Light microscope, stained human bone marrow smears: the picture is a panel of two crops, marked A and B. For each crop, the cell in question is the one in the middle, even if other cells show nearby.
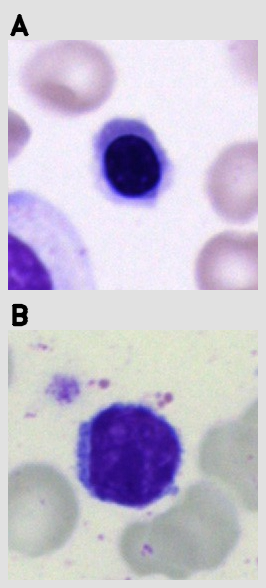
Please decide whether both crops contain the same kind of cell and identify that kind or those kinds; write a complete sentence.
No, the cell of interest in crop A is a normoblast, and in crop B it is a lymphocyte.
